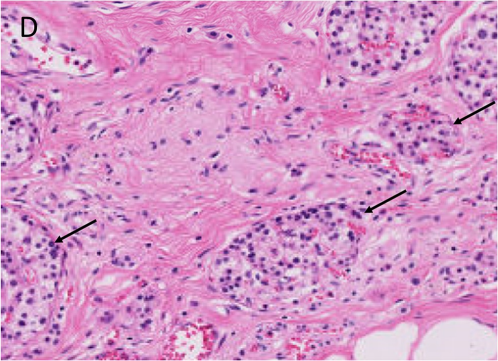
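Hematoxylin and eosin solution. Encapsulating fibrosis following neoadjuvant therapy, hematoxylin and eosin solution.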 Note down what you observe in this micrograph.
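Islets appear as several rounded, sharply bounded clusters of small cells lying within pink fibrous tissue. Each cluster is made of closely packed cells with small, round, evenly dark purple nuclei and pale pink cytoplasm, with fine capillaries between them. No surrounding glandular tissue is seen around them; instead the islets are isolated within bands of wavy collagen with scattered spindle-shaped cells and small vessels containing red blood cells. A small clear space of fat lies at the lower edge of the field.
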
